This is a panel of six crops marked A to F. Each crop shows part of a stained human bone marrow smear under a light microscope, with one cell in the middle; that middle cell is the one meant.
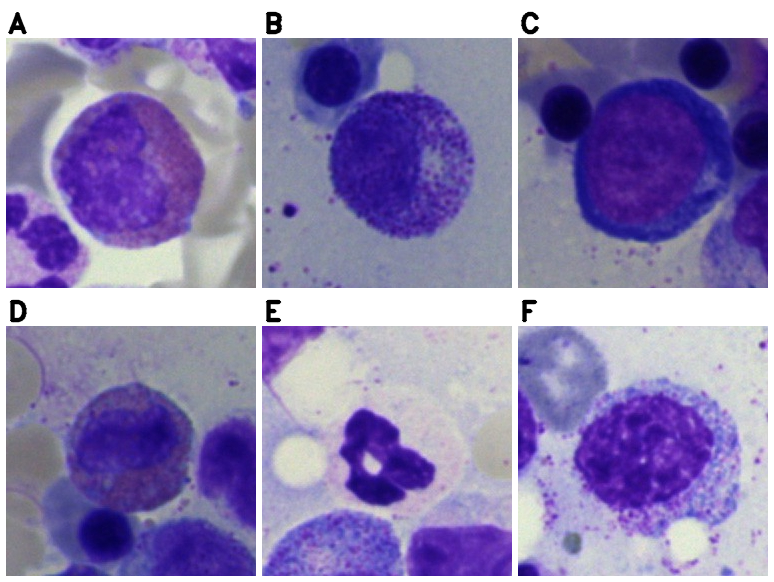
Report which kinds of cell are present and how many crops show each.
eosinophil: 2
myelocyte: 2
proerythroblast: 1
segmented neutrophil: 1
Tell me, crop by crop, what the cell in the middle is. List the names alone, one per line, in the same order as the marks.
eosinophil
myelocyte
proerythroblast
eosinophil
segmented neutrophil
myelocyte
